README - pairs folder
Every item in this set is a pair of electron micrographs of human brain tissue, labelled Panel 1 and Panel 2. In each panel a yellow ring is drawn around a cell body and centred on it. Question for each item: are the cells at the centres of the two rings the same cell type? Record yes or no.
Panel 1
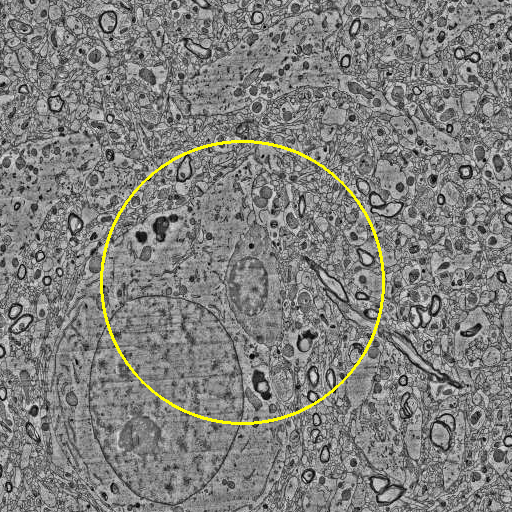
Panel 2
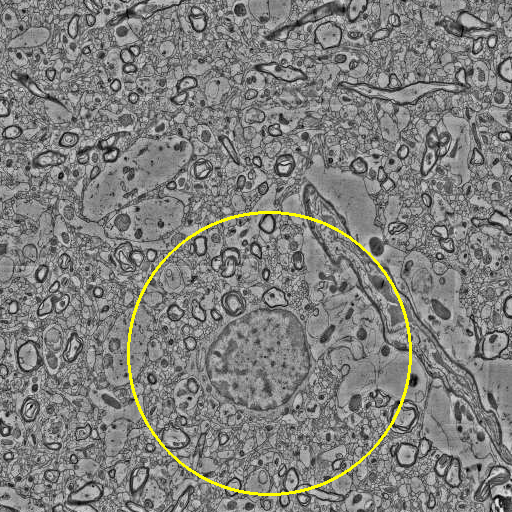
yes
